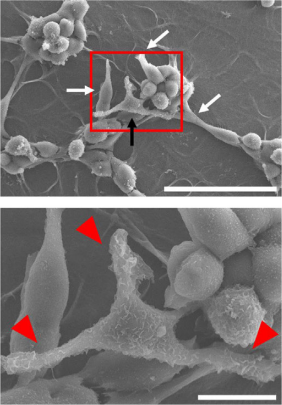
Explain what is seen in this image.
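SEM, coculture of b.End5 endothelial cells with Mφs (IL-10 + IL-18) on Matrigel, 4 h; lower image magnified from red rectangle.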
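Clusters of rounded cells and spindle-shaped cells lie on the matrix, joined by thin cytoplasmic strands. In the enlarged view, a flattened cell with a textured surface extends broad, thin pseudopodia toward adjacent spindle-shaped and rounded cells. Rounded cells with bumpy surfaces are heaped together beside it.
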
